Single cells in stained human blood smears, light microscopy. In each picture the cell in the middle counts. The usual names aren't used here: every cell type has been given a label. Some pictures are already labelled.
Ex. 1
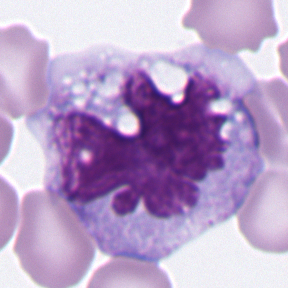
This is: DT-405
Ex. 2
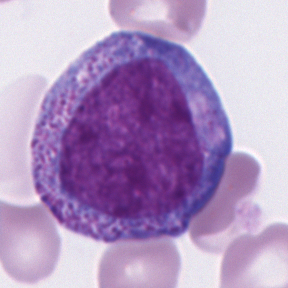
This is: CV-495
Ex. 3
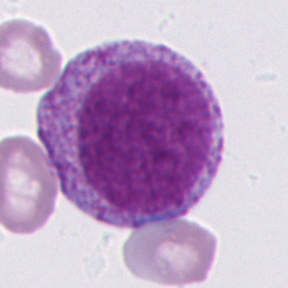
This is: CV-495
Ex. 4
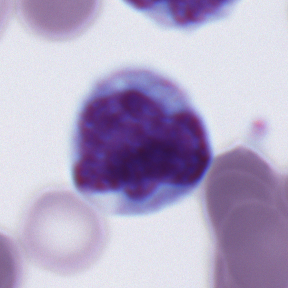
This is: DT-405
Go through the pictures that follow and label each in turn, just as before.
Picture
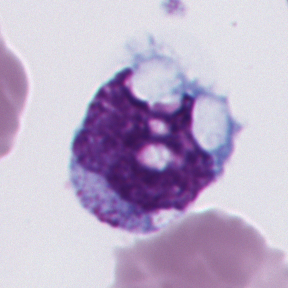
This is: DT-405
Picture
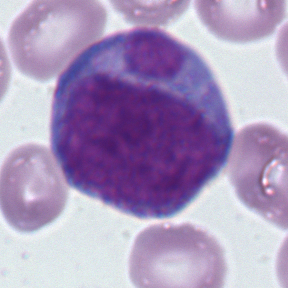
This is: CV-495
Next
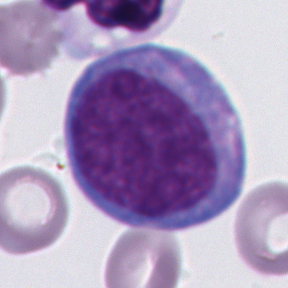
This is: CV-495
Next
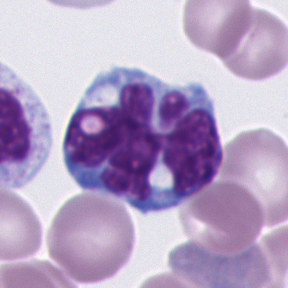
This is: DT-405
